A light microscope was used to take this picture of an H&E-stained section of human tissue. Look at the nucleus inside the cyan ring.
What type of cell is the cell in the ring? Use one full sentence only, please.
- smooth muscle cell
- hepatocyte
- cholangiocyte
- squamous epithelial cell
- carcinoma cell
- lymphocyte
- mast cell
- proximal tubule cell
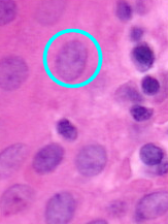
For the purposes of cell typing, the cell in the ring is categorized as a squamous epithelial cell.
